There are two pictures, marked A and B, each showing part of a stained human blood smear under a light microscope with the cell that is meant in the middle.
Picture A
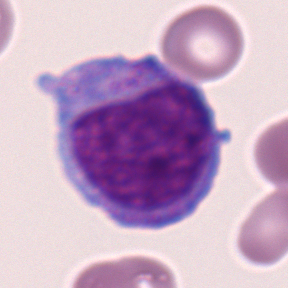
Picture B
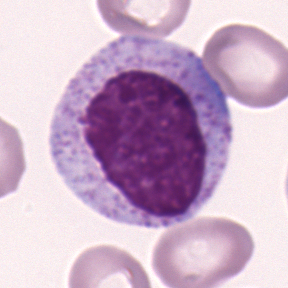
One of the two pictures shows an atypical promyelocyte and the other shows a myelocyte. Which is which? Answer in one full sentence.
Picture B shows a myelocyte, while picture A shows an atypical promyelocyte.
